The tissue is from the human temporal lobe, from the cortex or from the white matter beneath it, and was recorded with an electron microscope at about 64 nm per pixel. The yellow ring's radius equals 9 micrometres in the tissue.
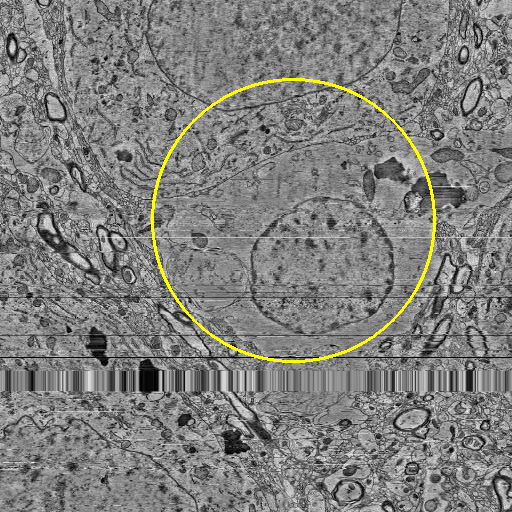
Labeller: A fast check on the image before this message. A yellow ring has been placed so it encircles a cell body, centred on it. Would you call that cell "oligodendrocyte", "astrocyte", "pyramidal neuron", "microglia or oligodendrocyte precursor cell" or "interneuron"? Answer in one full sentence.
In this image, an astrocyte is the cell on which the yellow ring is centred.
